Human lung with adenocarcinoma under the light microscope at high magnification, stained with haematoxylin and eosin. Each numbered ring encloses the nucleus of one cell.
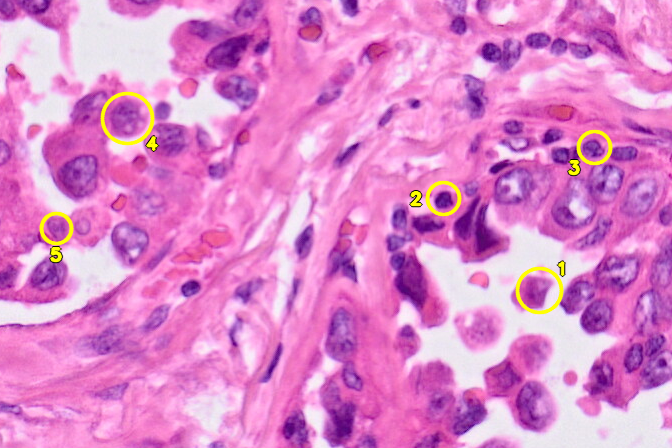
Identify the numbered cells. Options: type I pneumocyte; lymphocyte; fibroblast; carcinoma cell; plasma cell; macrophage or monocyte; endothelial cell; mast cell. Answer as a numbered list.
1. carcinoma cell
2. lymphocyte
3. lymphocyte
4. carcinoma cell
5. macrophage or monocyte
